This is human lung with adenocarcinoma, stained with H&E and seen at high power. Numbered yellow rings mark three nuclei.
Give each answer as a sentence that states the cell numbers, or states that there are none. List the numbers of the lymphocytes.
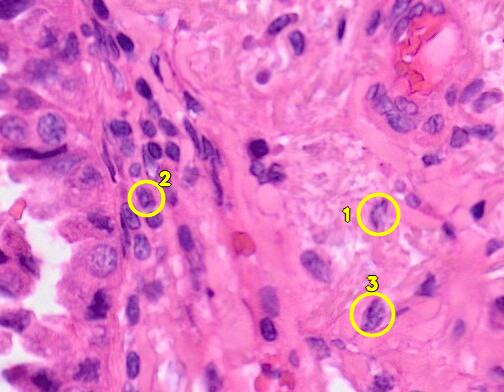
Only nucleus 2 belongs to a lymphocyte; the other numbered nuclei do not.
